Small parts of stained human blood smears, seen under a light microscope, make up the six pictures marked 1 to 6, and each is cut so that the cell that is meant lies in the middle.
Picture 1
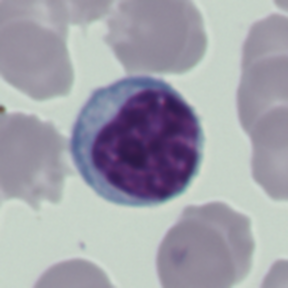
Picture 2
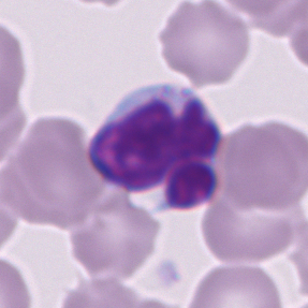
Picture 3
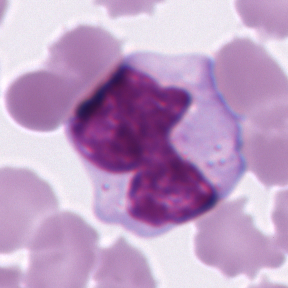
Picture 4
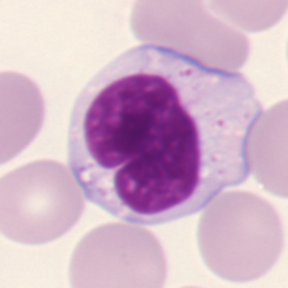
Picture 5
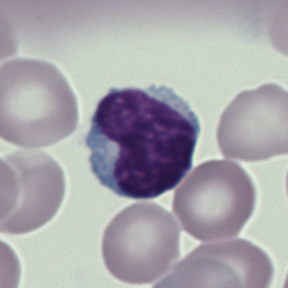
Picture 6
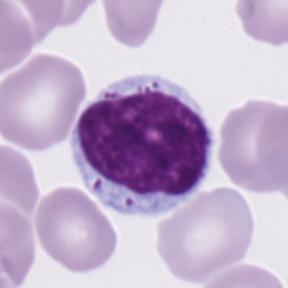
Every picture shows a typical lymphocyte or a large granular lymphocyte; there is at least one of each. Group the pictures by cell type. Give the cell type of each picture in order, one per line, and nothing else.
typical lymphocyte
typical lymphocyte
large granular lymphocyte
large granular lymphocyte
typical lymphocyte
large granular lymphocyte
